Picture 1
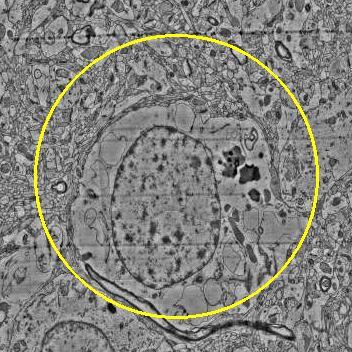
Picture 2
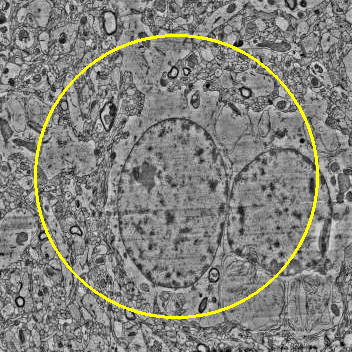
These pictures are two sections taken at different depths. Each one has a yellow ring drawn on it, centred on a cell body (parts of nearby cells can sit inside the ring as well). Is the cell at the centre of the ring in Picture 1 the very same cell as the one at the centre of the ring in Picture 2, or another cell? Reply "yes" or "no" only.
no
